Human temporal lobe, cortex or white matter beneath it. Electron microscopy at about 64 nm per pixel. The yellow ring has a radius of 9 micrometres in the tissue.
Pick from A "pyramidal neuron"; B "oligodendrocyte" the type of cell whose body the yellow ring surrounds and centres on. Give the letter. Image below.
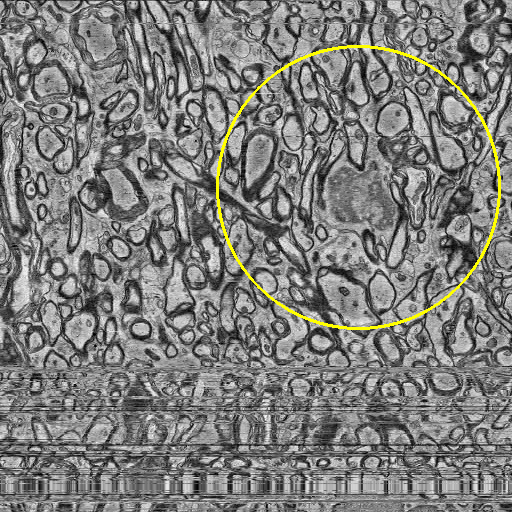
B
